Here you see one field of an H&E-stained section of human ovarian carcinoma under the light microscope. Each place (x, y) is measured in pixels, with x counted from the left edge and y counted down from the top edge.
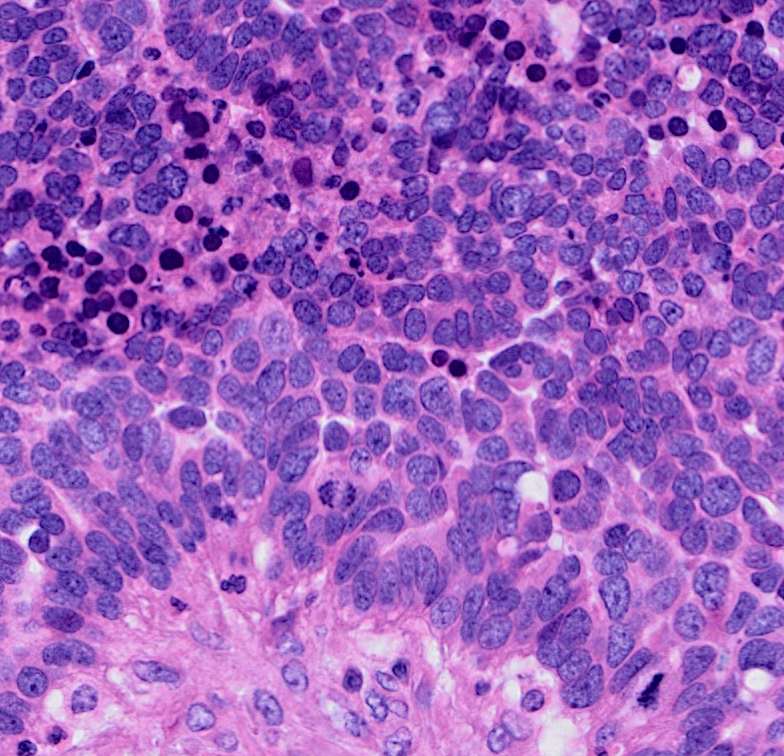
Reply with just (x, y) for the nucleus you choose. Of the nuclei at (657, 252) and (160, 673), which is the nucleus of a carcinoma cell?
(657, 252)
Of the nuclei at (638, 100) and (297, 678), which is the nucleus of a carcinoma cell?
(638, 100)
